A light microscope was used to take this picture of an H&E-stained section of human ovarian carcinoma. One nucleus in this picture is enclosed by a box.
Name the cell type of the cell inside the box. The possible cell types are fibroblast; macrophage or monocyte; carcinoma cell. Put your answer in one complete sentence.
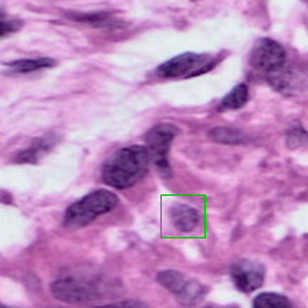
The correct response here is that the cell inside the box is a macrophage or monocyte.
